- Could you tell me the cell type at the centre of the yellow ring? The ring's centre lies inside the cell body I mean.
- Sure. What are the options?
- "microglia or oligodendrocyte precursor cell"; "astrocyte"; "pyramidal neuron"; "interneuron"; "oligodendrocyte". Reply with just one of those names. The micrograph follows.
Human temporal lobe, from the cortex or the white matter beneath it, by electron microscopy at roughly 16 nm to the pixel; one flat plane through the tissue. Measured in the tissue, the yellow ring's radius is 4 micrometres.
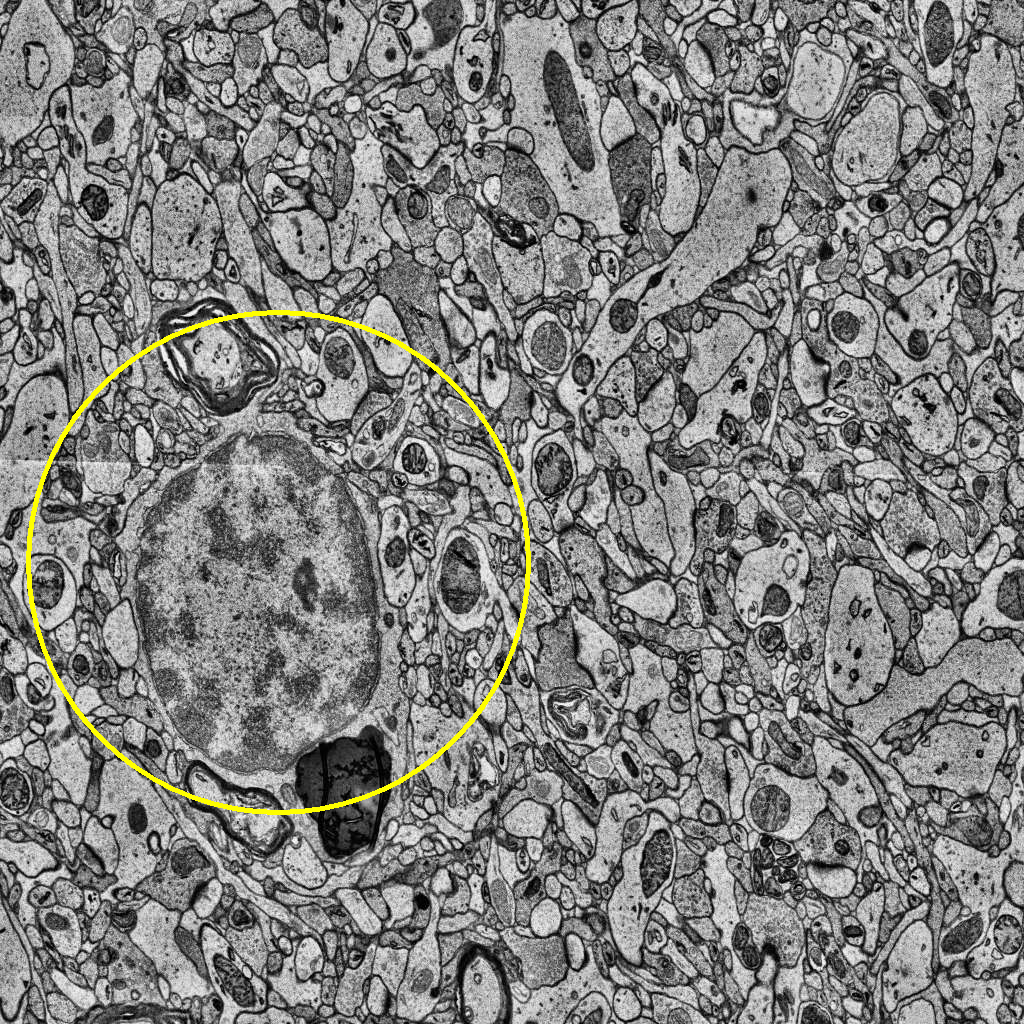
oligodendrocyte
